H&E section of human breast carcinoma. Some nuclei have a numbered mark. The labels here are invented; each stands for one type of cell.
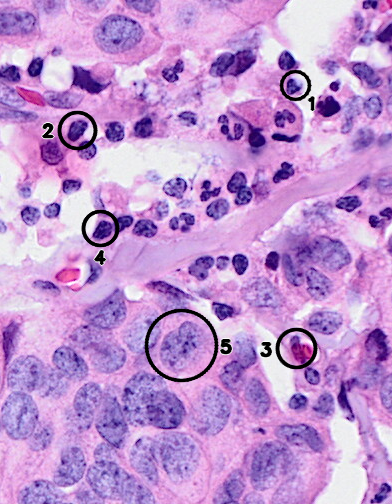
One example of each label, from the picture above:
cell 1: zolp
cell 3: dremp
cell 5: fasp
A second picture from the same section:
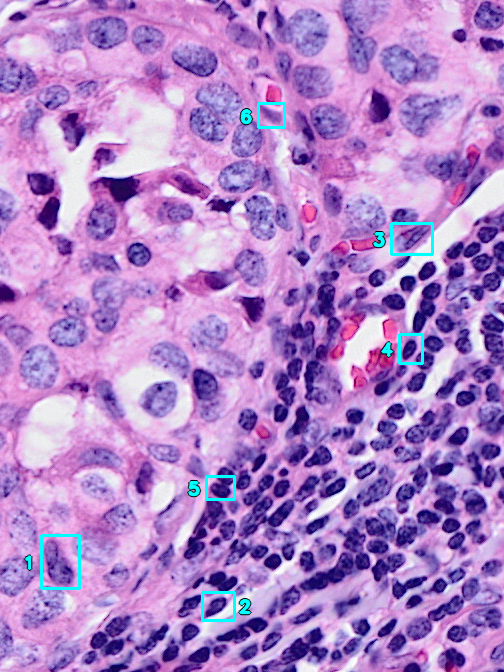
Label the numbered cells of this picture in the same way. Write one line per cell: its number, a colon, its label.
1: fasp
2: zolp
3: dremp
4: zolp
5: zolp
6: dremp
